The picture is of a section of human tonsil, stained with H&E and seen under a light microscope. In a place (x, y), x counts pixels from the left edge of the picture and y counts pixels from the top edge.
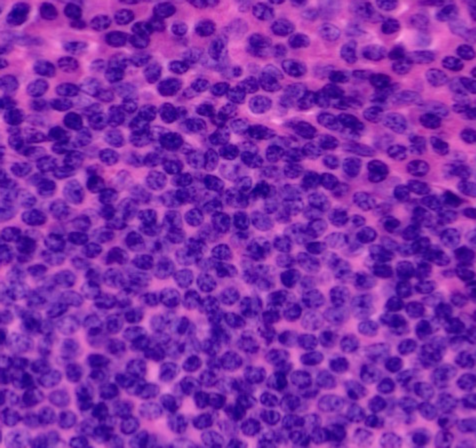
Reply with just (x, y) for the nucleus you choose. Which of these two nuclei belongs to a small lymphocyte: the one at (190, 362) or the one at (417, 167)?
(190, 362)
